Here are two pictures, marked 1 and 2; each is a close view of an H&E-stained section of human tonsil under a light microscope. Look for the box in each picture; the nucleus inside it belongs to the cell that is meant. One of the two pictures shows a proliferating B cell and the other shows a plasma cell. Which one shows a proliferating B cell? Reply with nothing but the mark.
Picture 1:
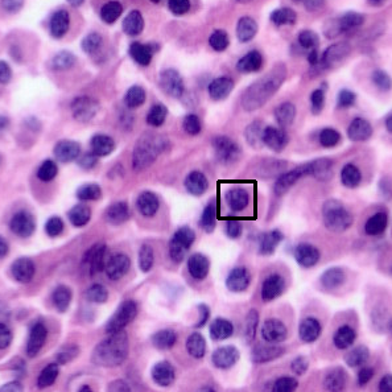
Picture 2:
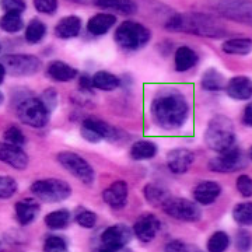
2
